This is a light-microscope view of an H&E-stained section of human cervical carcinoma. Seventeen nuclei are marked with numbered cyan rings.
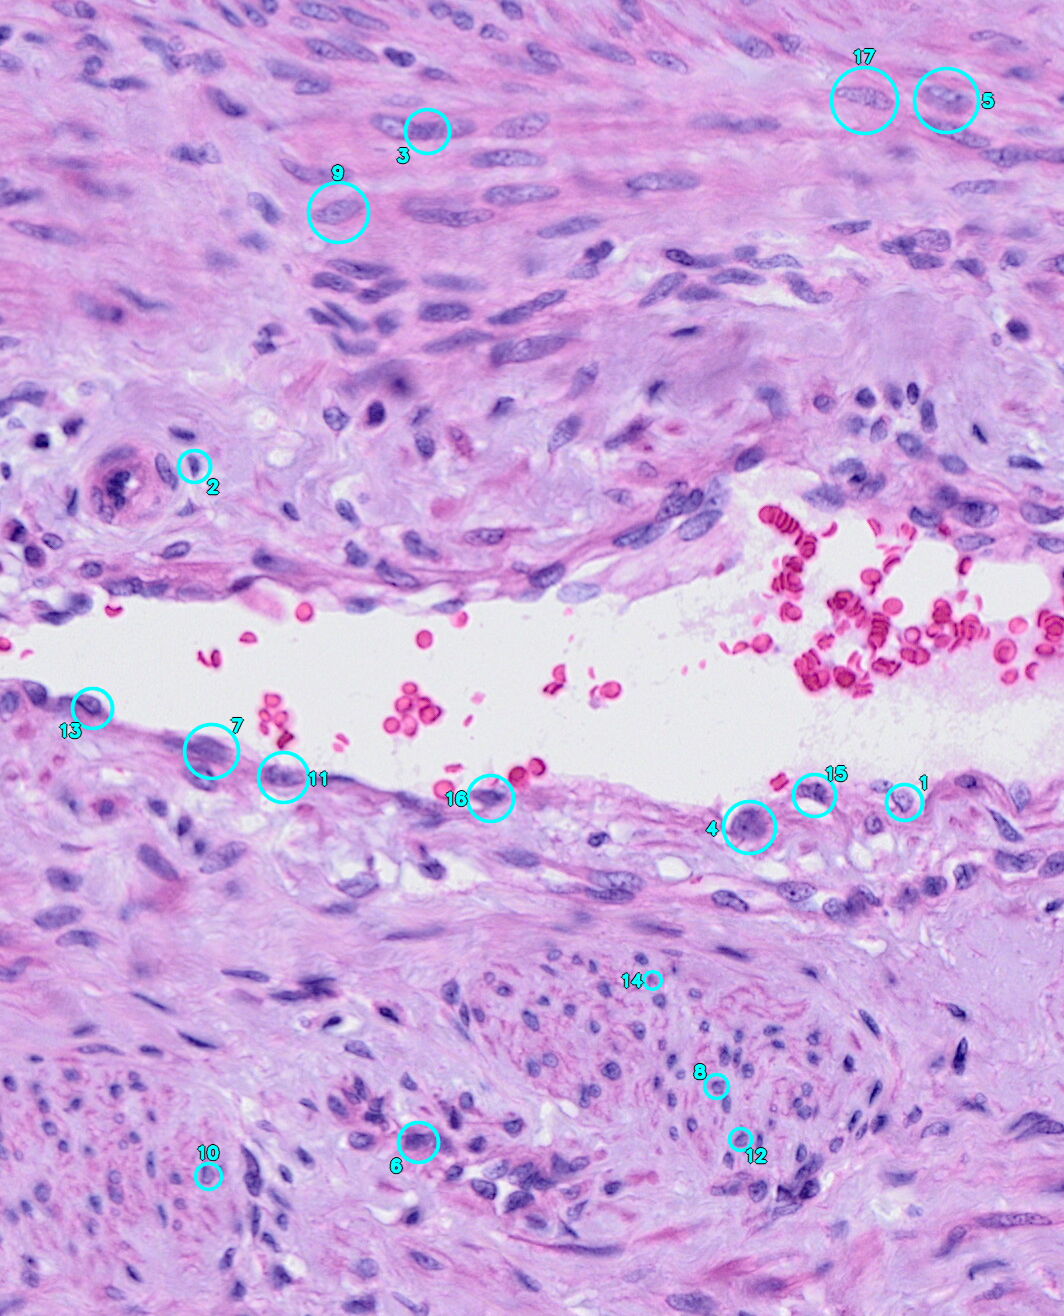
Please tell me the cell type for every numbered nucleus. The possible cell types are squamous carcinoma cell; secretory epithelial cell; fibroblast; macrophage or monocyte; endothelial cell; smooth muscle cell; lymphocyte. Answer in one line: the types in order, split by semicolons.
endothelial cell; fibroblast; smooth muscle cell; endothelial cell; smooth muscle cell; endothelial cell; endothelial cell; smooth muscle cell; smooth muscle cell; smooth muscle cell; endothelial cell; smooth muscle cell; endothelial cell; smooth muscle cell; endothelial cell; endothelial cell; smooth muscle cell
